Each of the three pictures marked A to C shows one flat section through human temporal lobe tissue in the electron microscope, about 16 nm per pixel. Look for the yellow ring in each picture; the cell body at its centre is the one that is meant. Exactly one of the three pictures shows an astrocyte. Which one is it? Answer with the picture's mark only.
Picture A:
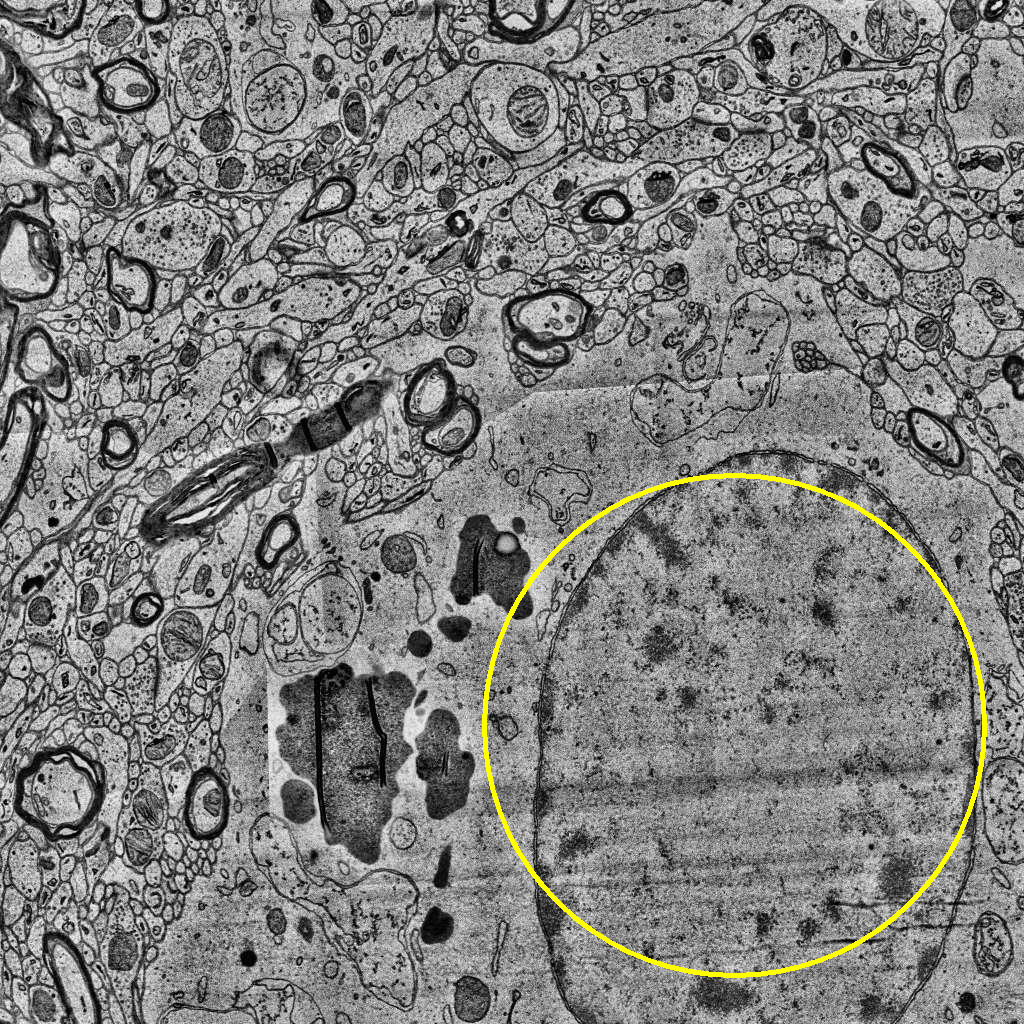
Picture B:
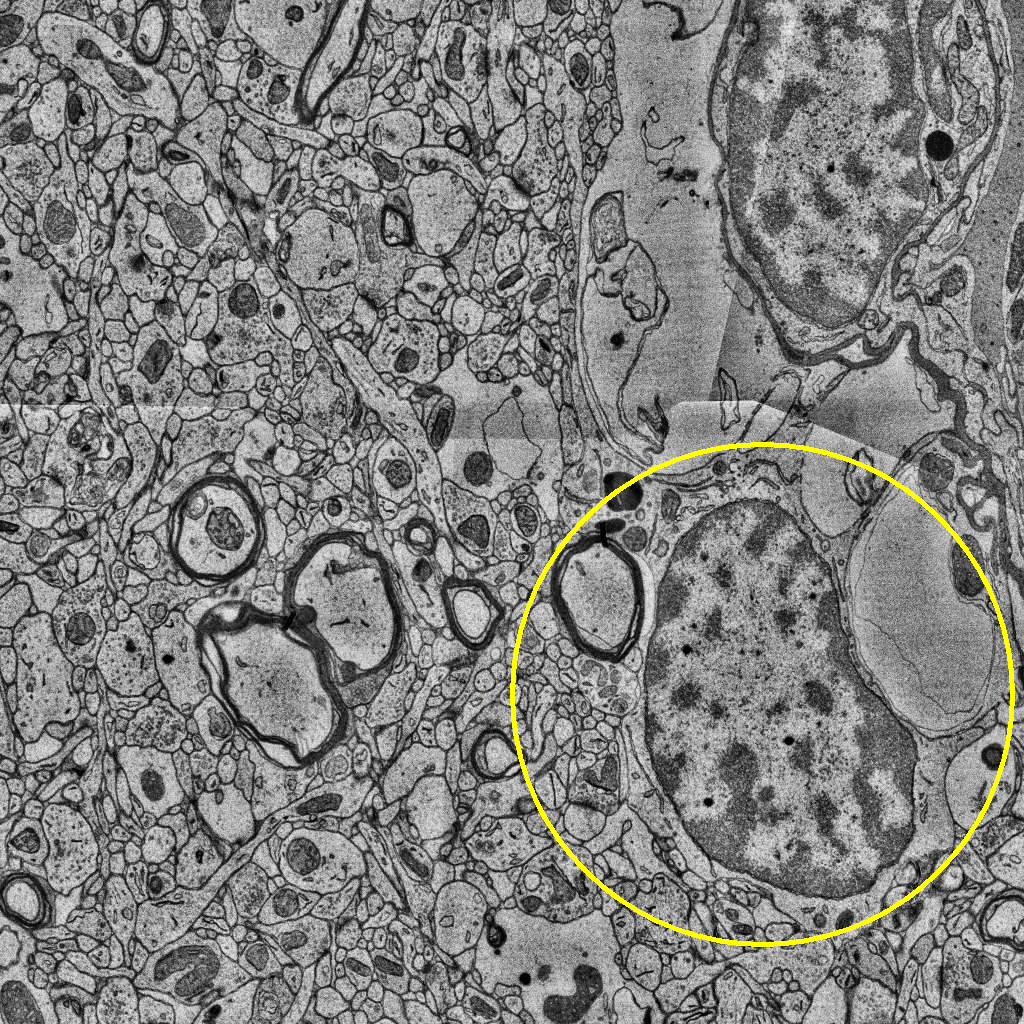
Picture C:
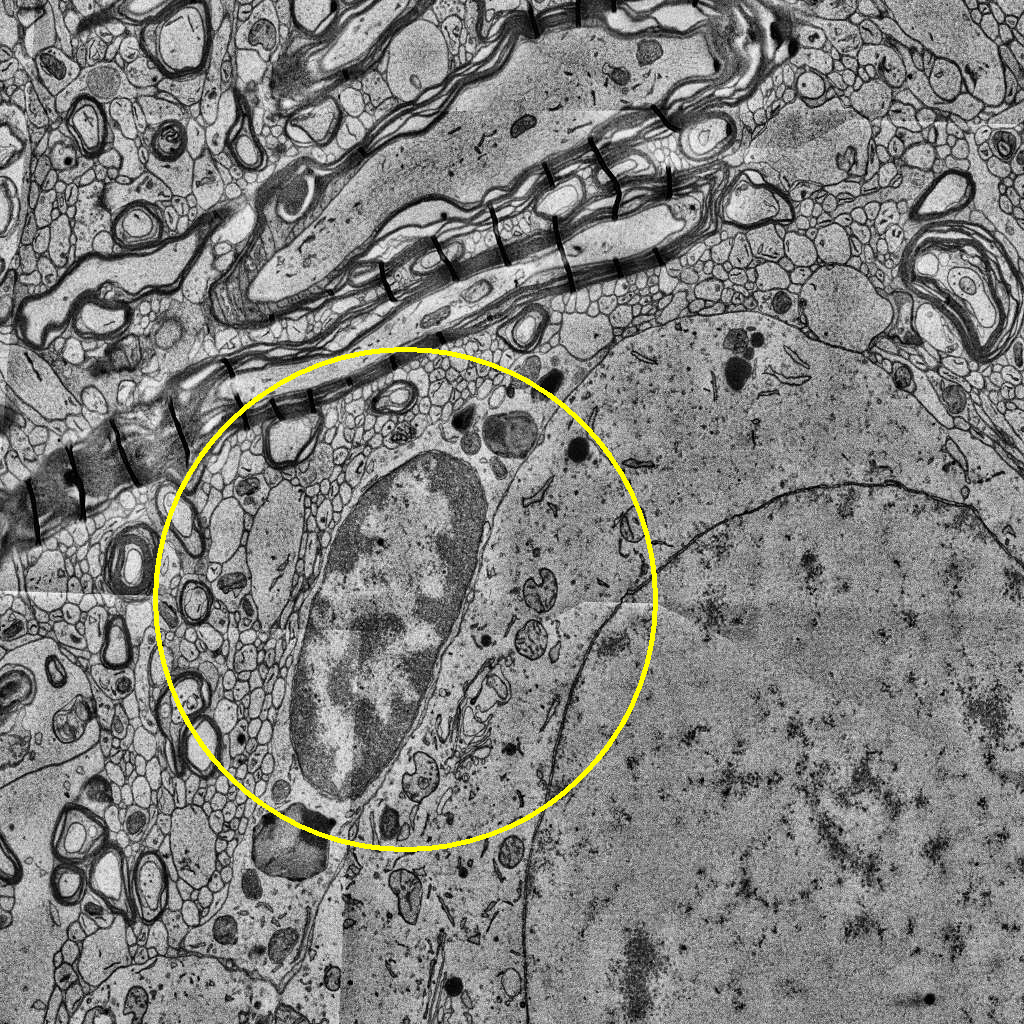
A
